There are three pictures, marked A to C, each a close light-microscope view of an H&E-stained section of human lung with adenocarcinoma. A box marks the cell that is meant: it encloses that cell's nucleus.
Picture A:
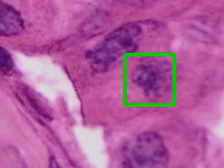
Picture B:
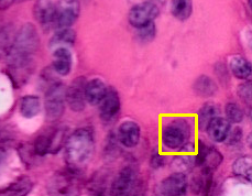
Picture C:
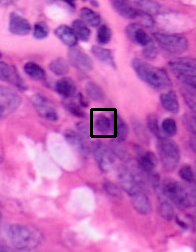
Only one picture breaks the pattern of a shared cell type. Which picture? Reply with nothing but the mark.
A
